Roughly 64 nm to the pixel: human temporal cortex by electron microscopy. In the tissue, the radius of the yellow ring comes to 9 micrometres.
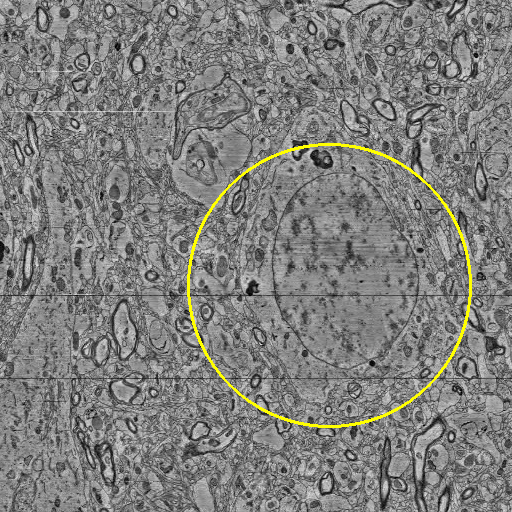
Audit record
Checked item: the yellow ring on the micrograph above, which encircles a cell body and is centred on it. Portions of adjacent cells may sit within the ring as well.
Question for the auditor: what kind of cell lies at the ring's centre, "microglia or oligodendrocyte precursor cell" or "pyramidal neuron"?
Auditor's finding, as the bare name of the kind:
pyramidal neuron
